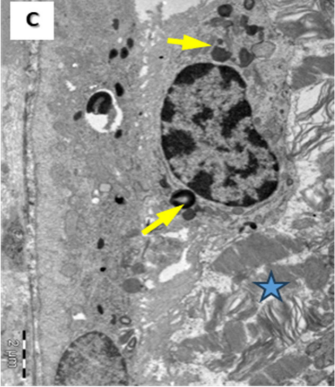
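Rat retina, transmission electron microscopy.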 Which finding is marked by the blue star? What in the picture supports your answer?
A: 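The membranous material under the star is fragmented and disordered rather than in regular parallel stacks. On this evidence: Highly altered rod and cone ultrastructure.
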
